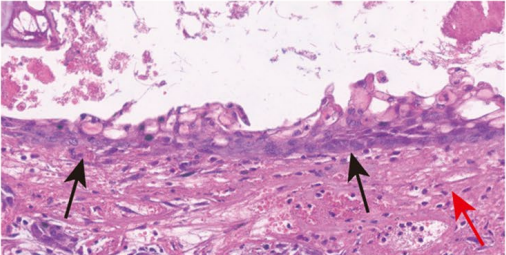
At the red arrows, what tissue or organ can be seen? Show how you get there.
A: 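Pink fibrous tissue with scattered spindle-shaped nuclei. It lies below the surface cell layer. So: stroma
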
